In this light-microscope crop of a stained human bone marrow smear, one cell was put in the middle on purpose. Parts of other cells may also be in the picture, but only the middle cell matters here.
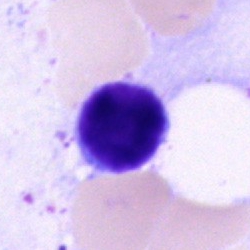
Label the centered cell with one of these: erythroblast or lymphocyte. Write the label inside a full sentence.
What sits at the centre of this crop is a lymphocyte.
